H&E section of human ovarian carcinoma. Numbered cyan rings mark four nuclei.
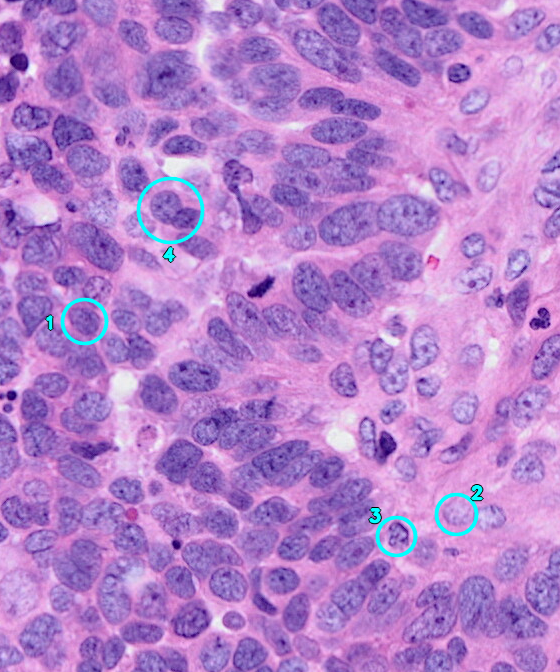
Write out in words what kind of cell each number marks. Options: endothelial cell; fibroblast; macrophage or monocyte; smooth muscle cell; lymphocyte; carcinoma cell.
Cell 1 is a carcinoma cell, cell 2 is a fibroblast, cell 3 is a macrophage or monocyte and cell 4 is a carcinoma cell.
